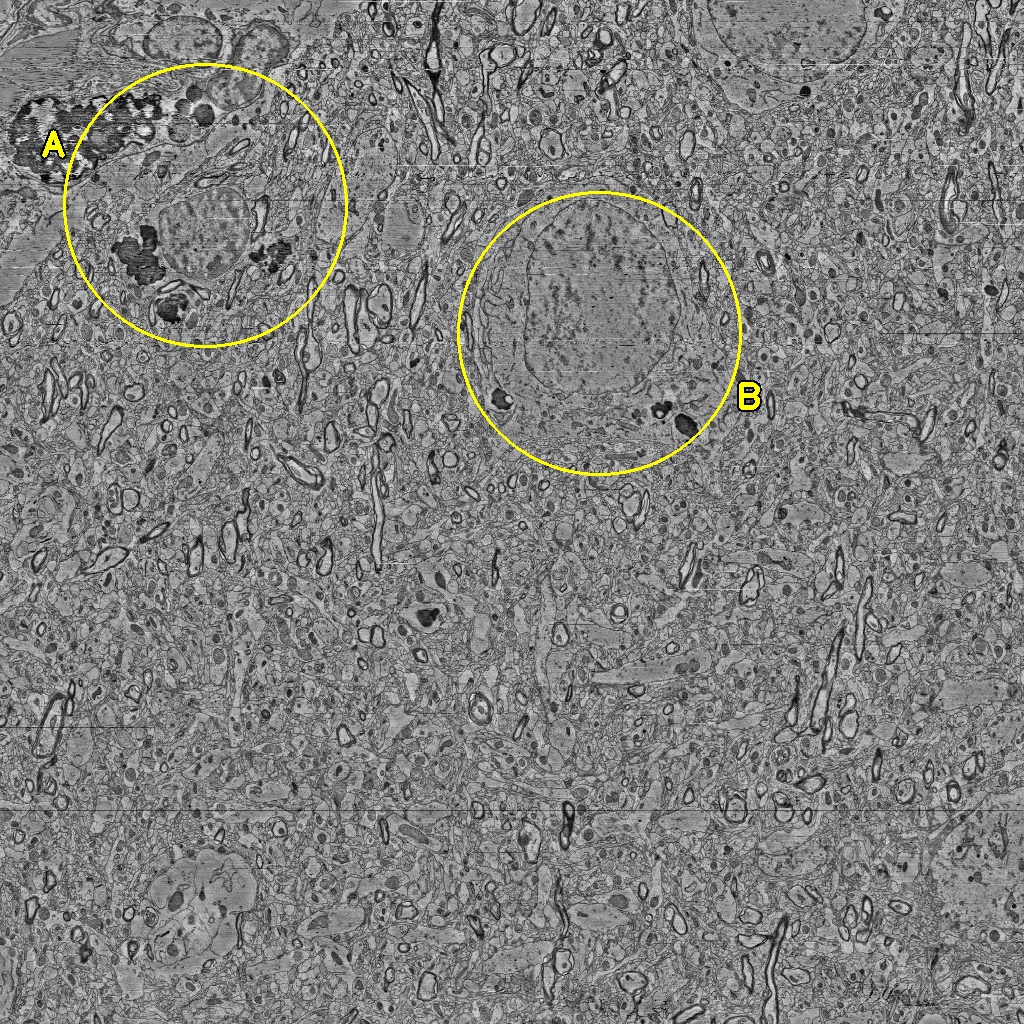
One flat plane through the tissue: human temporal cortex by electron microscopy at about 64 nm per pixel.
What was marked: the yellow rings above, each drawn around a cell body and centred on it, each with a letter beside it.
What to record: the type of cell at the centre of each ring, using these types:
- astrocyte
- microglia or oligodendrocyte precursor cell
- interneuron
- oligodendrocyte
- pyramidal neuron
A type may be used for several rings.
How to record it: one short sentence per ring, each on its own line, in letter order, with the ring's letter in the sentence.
Centred in ring A is an oligodendrocyte.
Centred in ring B is a pyramidal neuron.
